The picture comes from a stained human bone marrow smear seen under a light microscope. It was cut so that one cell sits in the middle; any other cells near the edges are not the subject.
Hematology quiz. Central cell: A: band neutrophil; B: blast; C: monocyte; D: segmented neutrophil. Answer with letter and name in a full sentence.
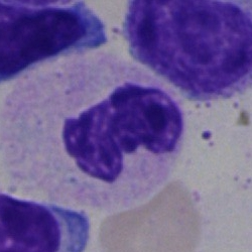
Answer key: option A, the middle cell being a band neutrophil.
